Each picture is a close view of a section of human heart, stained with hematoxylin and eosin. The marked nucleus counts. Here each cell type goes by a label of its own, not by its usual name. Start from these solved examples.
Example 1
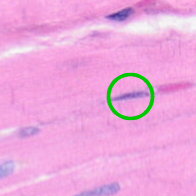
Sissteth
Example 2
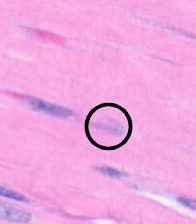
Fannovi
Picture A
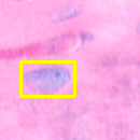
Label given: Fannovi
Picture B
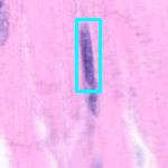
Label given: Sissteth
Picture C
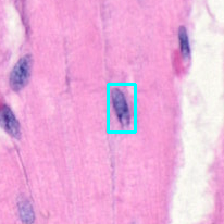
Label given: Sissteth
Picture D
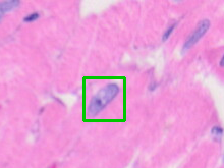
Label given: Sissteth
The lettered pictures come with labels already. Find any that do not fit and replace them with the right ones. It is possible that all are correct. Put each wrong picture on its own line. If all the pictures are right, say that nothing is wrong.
D should be Fannovi, not Sissteth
